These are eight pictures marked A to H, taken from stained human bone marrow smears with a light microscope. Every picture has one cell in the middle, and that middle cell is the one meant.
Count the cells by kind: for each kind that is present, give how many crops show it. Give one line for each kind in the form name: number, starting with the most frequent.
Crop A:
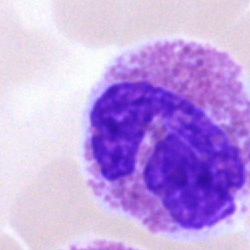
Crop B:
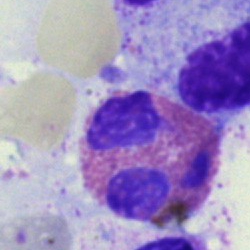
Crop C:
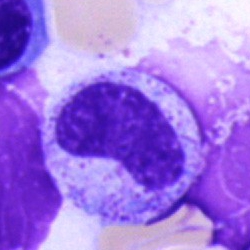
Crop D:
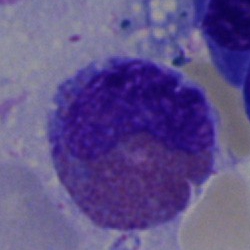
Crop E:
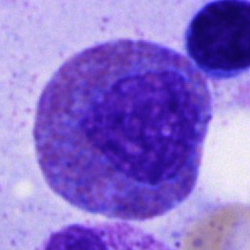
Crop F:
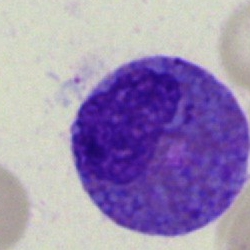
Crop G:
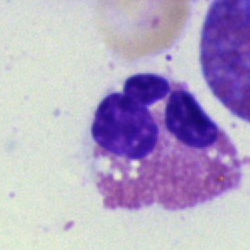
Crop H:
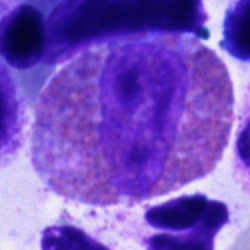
eosinophil: 7
metamyelocyte: 1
